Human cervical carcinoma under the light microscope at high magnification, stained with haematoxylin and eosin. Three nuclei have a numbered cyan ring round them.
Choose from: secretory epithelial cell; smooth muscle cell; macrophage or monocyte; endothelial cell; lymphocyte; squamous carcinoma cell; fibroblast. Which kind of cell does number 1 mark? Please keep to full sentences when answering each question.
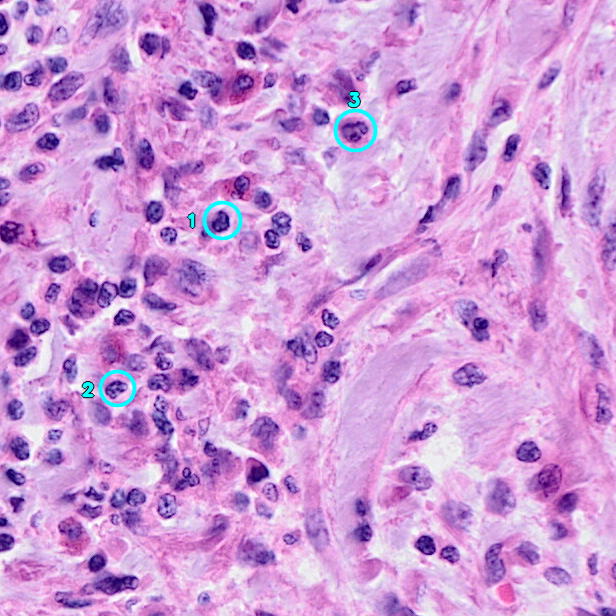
The nucleus labeled 1 belongs to a lymphocyte.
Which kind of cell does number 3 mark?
The identity of cell 3 is that of a macrophage or monocyte.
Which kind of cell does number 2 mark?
The cell identified by the number 2 is a lymphocyte.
